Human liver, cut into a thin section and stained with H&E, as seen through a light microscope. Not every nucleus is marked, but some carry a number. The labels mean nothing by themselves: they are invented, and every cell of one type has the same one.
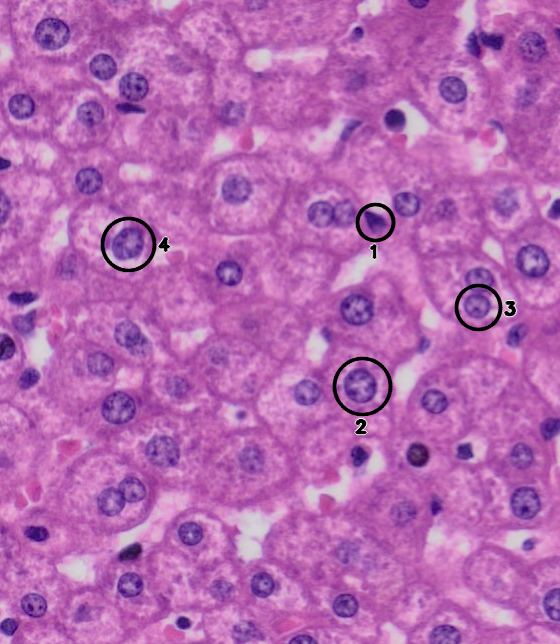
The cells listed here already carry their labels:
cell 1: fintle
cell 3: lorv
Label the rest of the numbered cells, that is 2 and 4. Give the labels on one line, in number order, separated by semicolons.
lorv; lorv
